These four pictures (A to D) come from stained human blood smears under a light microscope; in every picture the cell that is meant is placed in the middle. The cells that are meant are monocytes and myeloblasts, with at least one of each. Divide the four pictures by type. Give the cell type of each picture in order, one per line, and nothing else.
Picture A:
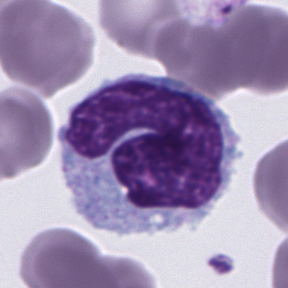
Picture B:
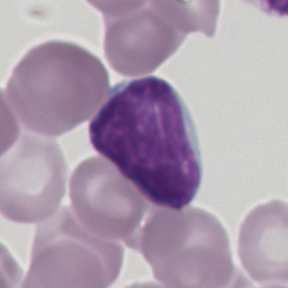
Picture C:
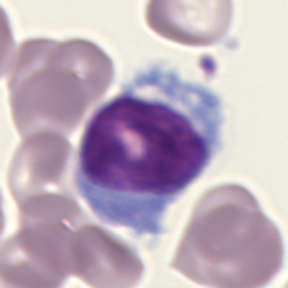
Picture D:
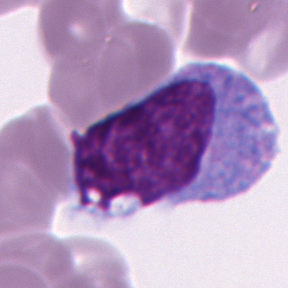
monocyte
myeloblast
monocyte
monocyte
